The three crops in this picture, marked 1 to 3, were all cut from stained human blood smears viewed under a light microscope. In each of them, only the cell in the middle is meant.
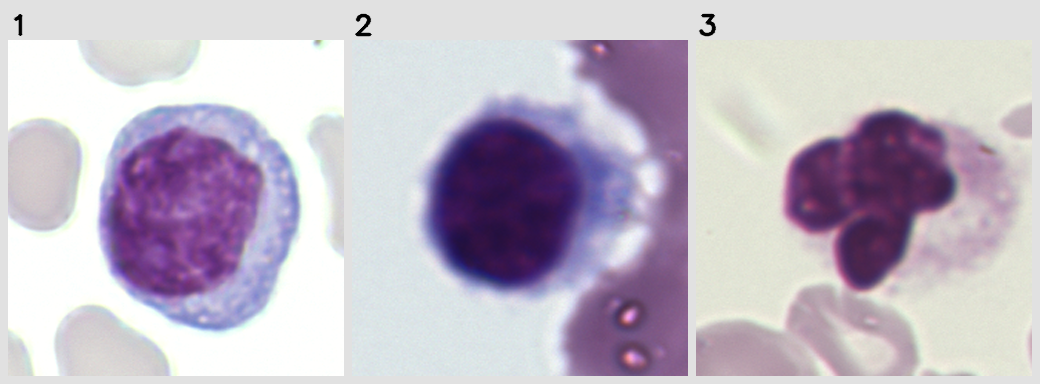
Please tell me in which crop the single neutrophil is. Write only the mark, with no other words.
3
